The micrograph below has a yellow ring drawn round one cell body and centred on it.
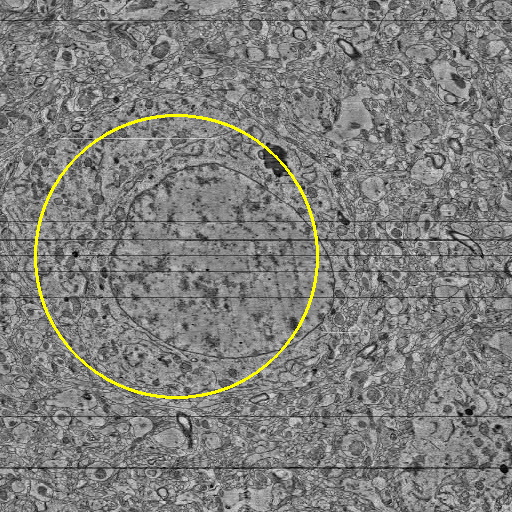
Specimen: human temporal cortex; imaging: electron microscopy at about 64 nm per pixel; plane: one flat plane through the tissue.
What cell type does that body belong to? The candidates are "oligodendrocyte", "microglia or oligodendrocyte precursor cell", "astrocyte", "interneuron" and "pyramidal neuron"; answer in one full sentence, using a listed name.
This is a pyramidal neuron, the cell whose body lies at the centre of the ring.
